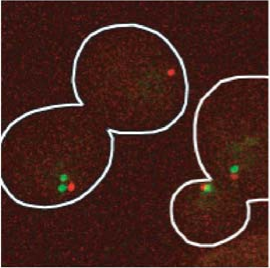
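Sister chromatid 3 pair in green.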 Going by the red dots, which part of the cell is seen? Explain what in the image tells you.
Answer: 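Small round red dots lie inside the outlined cells. Within the left cell, one red dot sits in the upper lobe and another in the lower lobe. So: spindle pole bodies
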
